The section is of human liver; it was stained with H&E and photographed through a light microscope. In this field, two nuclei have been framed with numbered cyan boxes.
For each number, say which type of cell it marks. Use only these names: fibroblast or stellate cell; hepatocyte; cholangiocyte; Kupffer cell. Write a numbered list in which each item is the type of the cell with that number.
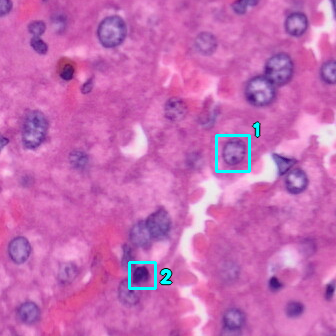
1. hepatocyte
2. fibroblast or stellate cell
